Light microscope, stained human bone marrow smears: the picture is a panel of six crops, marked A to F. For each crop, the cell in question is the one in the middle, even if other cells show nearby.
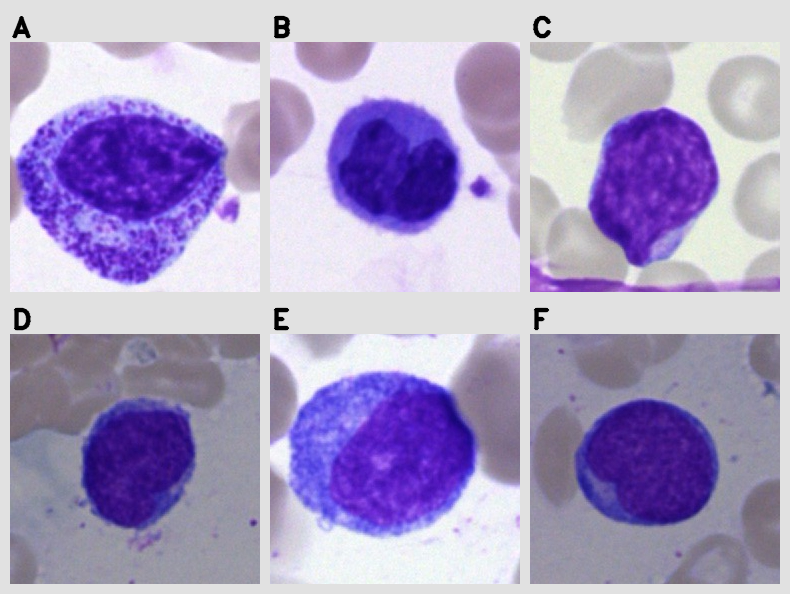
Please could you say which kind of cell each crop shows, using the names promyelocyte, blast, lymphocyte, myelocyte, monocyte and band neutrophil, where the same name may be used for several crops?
A: myelocyte
B: monocyte
C: blast
D: blast
E: promyelocyte
F: blast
